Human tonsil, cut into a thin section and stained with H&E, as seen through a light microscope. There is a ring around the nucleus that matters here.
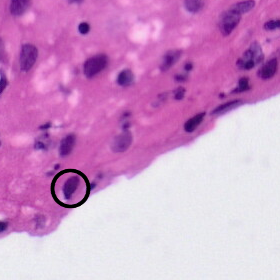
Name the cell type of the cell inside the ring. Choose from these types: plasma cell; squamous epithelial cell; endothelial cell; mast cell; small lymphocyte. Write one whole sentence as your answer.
With respect to cell type, the cell inside the ring is a squamous epithelial cell.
